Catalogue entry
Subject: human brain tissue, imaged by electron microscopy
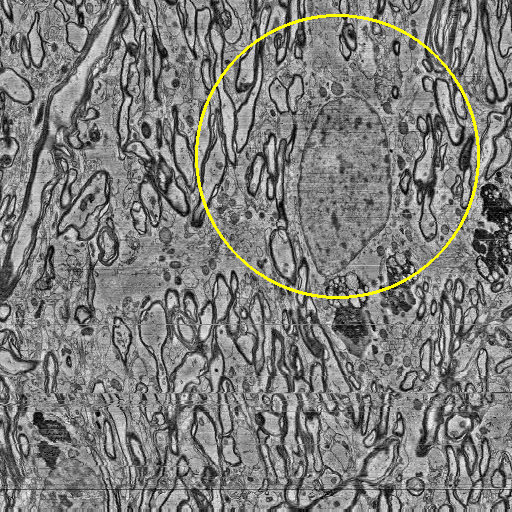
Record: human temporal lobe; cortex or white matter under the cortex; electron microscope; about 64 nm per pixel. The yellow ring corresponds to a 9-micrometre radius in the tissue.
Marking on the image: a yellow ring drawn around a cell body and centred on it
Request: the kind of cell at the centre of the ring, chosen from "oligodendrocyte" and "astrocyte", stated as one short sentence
The ring has an astrocyte at its centre.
